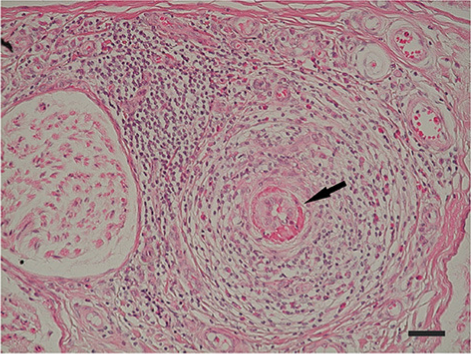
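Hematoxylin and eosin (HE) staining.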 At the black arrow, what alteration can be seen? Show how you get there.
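Fibrinoid necrosis. The arrow points to smudgy, bright pink material at the centre of a vessel. The vessel wall around it is thickened and ringed by many concentric cells.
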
